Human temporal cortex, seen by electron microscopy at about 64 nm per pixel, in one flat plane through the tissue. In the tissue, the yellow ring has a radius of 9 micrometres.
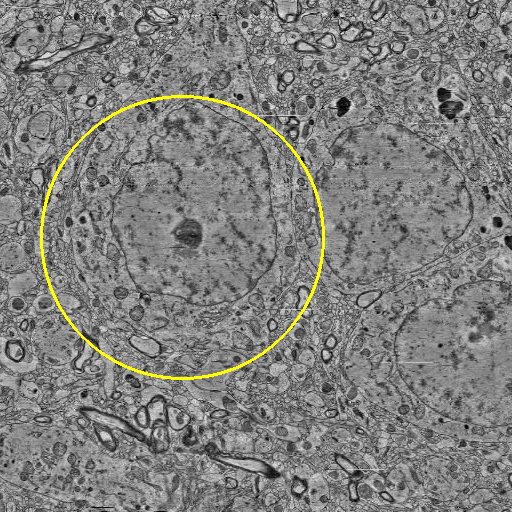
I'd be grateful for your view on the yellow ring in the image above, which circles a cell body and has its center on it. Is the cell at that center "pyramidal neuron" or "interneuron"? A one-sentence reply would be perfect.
The cell at the center of the yellow ring is a pyramidal neuron.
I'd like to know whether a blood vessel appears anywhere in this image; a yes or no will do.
No, no blood vessel can be seen.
